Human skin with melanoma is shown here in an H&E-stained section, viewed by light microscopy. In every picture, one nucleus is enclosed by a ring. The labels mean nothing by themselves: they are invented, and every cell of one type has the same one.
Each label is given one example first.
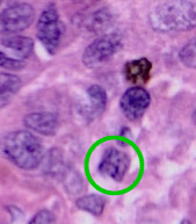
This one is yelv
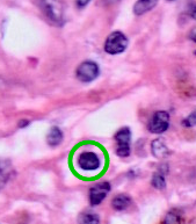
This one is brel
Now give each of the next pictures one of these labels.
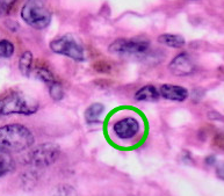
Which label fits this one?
brel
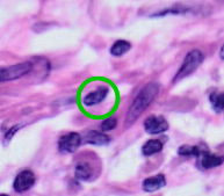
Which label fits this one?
brel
